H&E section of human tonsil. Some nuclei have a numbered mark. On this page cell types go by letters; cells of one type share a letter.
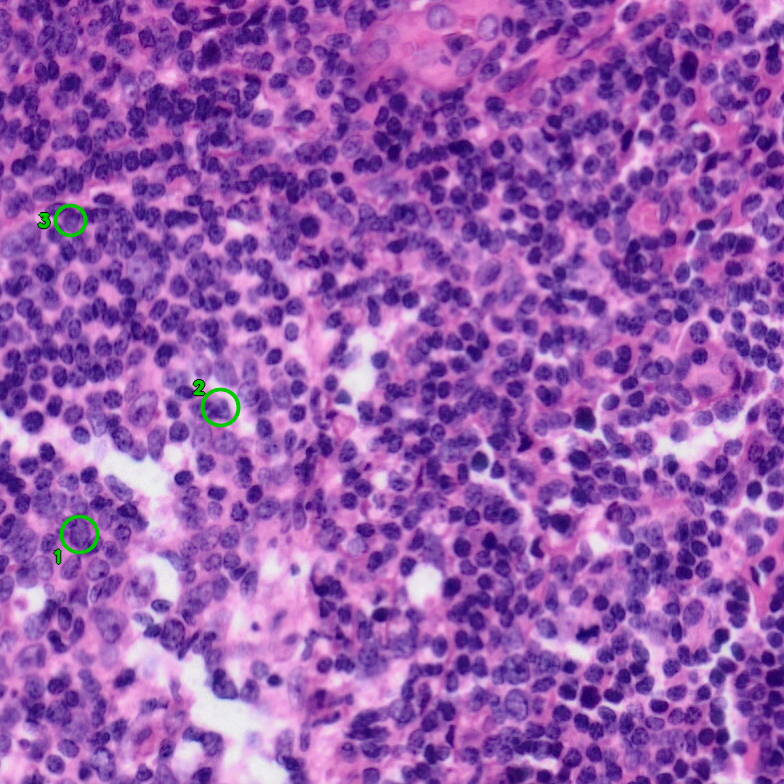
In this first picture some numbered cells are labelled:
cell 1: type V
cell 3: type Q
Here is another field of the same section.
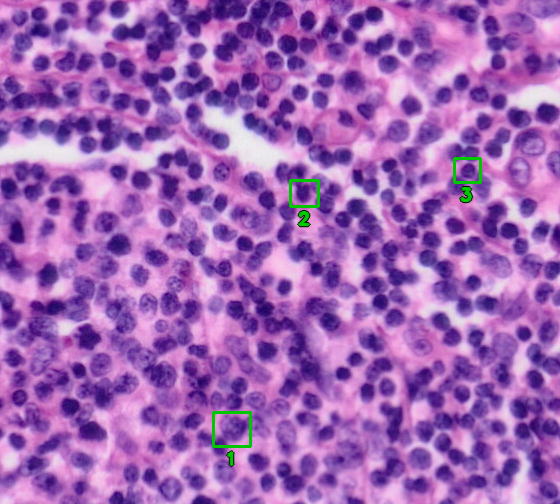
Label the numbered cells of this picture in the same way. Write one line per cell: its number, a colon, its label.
1: type V
2: type Q
3: type Q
